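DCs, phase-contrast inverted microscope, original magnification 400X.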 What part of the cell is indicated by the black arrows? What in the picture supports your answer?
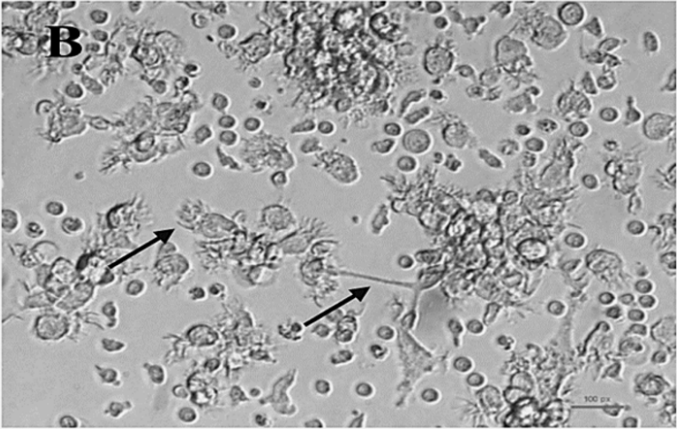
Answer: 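One arrow points to a long thin thread-like process stretching between two cell clusters. The other arrow points to cells bristling with many spiky protrusions. The answer: long cytoplasmic projection.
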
